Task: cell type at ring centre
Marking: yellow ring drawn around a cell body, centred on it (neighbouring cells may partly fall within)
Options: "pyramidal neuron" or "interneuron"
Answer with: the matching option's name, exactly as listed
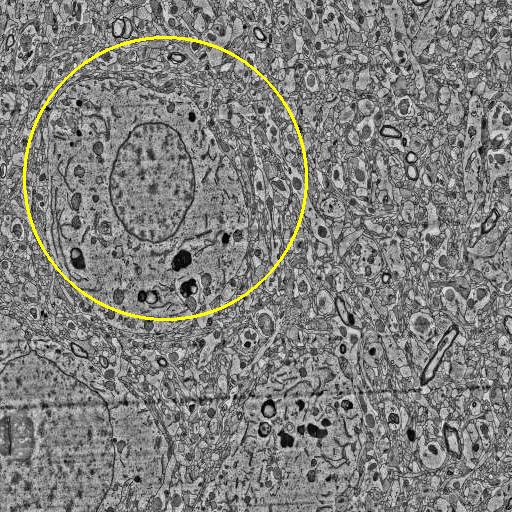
pyramidal neuron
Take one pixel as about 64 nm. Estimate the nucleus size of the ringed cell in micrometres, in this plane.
Approximately 8 micrometres long and 5 micrometres wide, in this plane.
